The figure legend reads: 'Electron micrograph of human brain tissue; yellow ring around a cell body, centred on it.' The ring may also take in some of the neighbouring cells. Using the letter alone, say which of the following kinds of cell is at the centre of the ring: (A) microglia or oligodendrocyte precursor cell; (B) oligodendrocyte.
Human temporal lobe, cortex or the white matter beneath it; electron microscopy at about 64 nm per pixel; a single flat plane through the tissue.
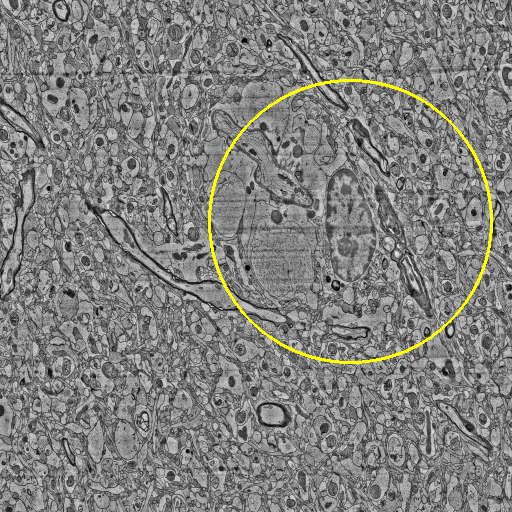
A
